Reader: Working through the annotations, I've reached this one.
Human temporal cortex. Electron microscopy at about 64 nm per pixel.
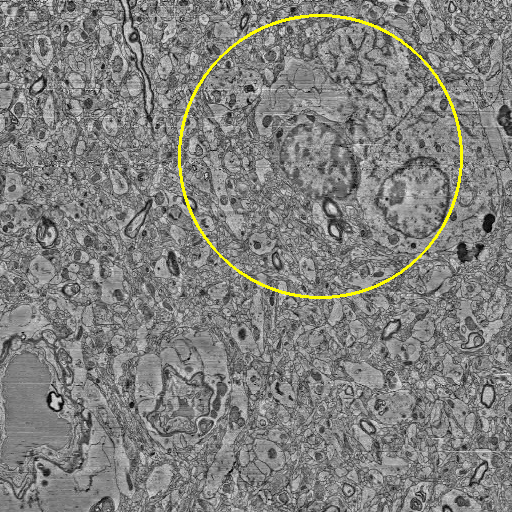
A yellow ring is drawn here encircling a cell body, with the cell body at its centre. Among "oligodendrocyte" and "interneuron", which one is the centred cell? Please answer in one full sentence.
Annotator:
The cell body at the centre of the yellow ring in this image belongs to an oligodendrocyte.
